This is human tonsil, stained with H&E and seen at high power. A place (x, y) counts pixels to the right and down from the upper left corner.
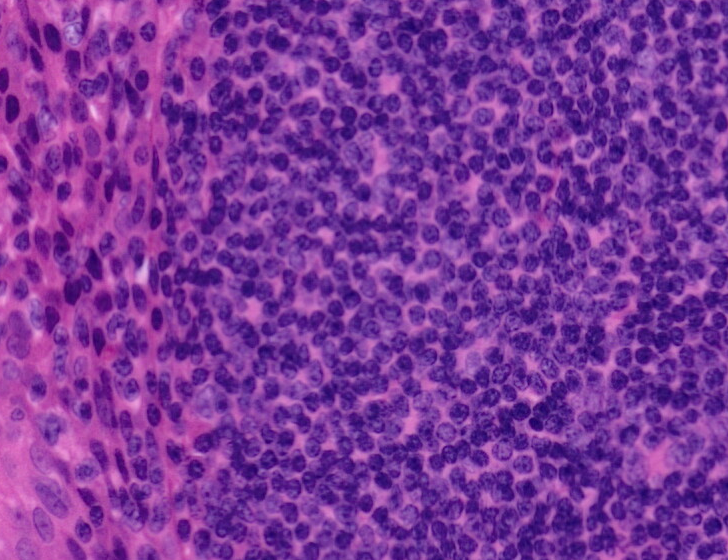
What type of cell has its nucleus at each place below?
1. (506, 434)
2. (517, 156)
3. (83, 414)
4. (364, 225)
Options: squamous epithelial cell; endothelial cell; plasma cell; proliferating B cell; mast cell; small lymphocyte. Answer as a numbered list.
1. small lymphocyte
2. small lymphocyte
3. squamous epithelial cell
4. small lymphocyte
